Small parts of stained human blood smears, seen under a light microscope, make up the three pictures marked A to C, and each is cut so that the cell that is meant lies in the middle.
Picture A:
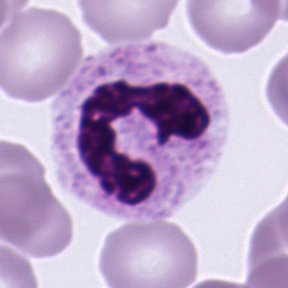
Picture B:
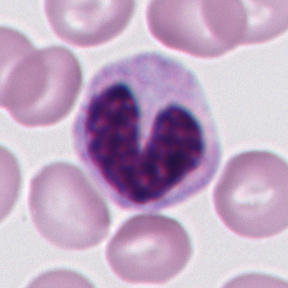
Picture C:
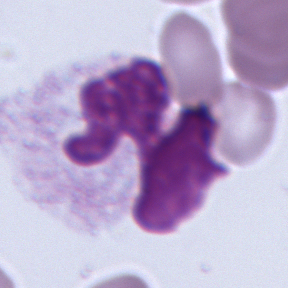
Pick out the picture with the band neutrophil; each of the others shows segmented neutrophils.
B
